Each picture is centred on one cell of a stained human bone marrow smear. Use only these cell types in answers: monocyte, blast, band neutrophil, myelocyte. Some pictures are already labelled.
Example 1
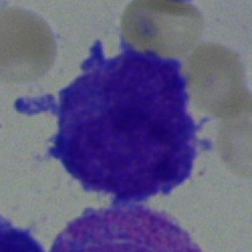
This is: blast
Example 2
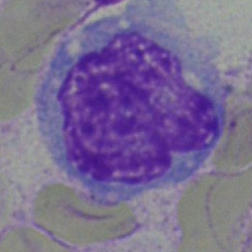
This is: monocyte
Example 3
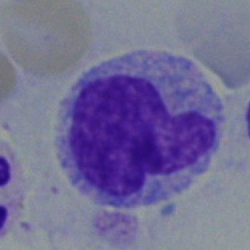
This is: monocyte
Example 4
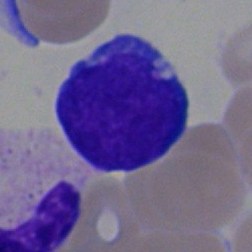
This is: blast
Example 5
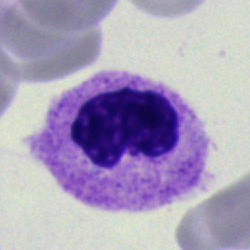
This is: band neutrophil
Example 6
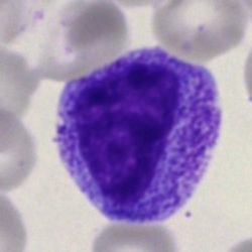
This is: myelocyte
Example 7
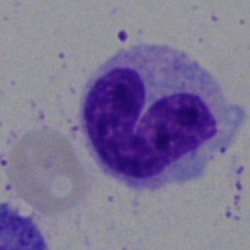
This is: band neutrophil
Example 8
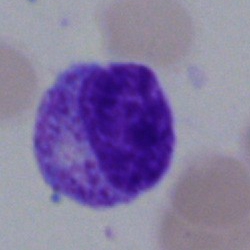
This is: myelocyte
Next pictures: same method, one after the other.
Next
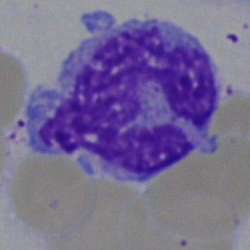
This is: monocyte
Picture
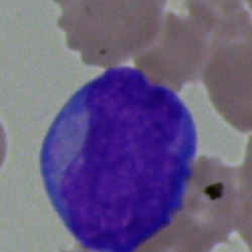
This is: blast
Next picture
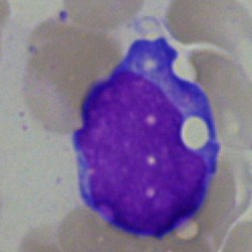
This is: blast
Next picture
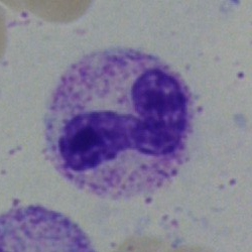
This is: band neutrophil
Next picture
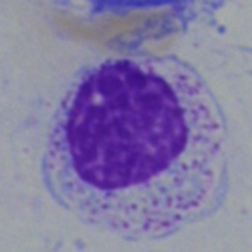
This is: myelocyte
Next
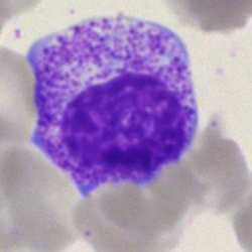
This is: myelocyte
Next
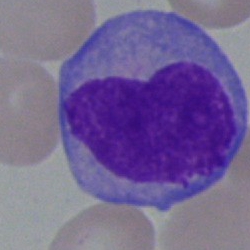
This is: monocyte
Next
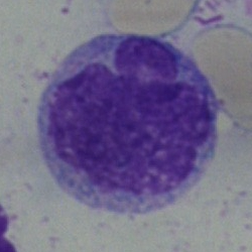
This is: blast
